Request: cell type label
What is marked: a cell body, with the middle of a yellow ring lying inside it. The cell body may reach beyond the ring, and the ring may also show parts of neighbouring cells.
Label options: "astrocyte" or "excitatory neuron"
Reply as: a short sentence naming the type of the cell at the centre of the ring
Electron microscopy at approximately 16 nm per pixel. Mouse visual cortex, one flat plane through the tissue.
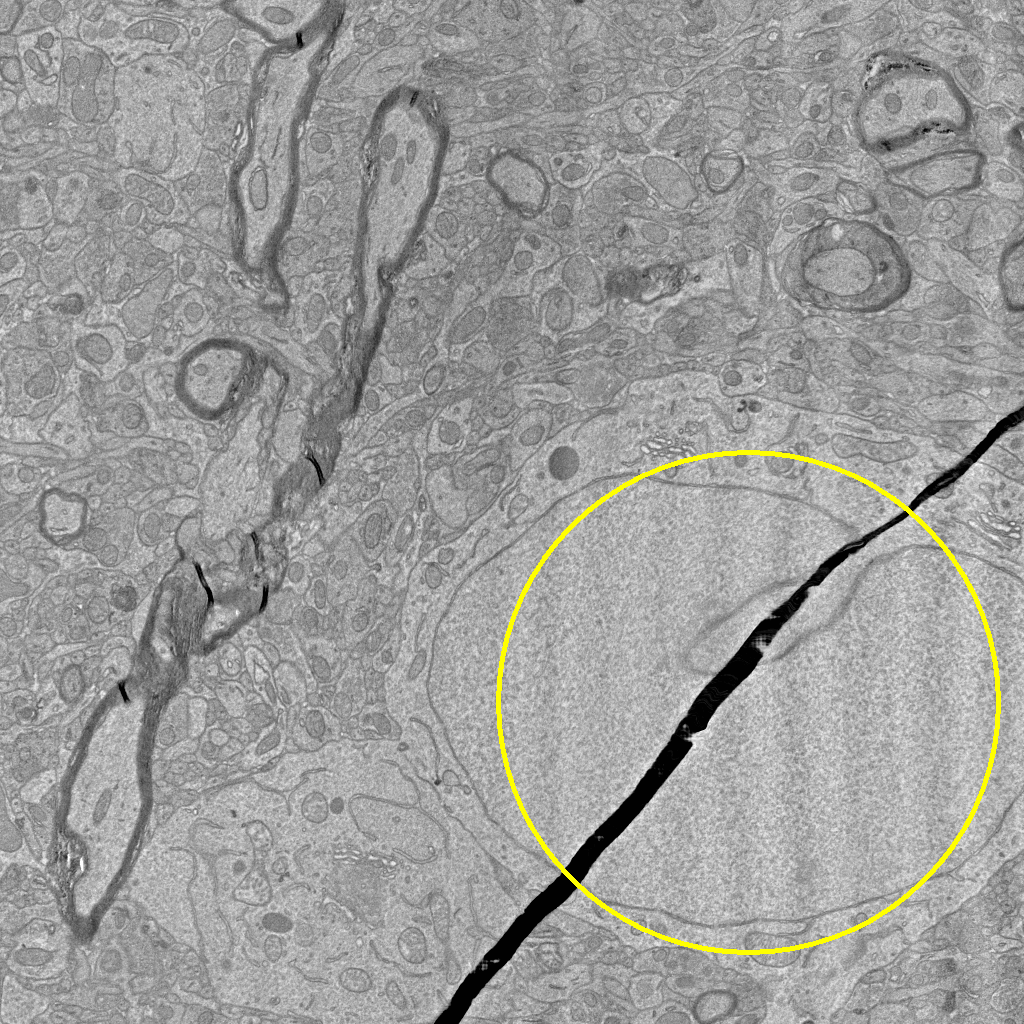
The marked cell body is that of an excitatory neuron.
